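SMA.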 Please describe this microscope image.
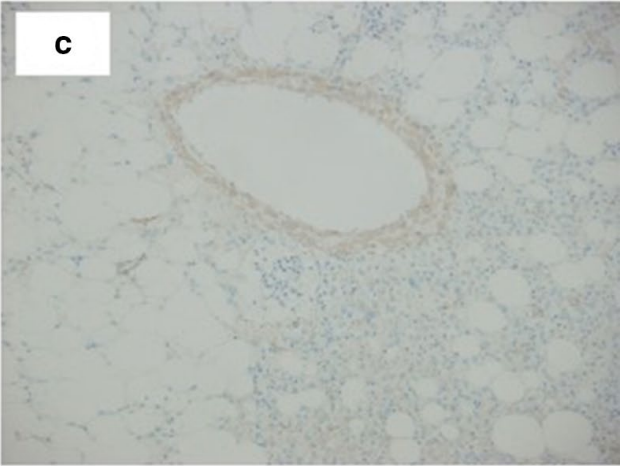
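Tissue of adipocytes and small cells around a blood vessel whose wall of spindle-shaped smooth muscle cells stains faintly brown. The brown ring encircles an empty oval lumen. Adipocytes appear as clear, round spaces of varied size. Small cells with blue nuclei fill the spaces between the adipocytes and are unstained.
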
